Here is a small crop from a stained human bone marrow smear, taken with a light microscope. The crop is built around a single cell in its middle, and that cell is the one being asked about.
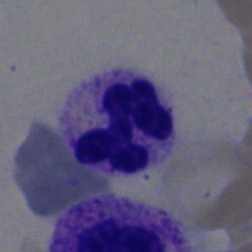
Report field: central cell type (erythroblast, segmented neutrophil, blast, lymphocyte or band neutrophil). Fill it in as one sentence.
As for the central cell, it is a segmented neutrophil.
